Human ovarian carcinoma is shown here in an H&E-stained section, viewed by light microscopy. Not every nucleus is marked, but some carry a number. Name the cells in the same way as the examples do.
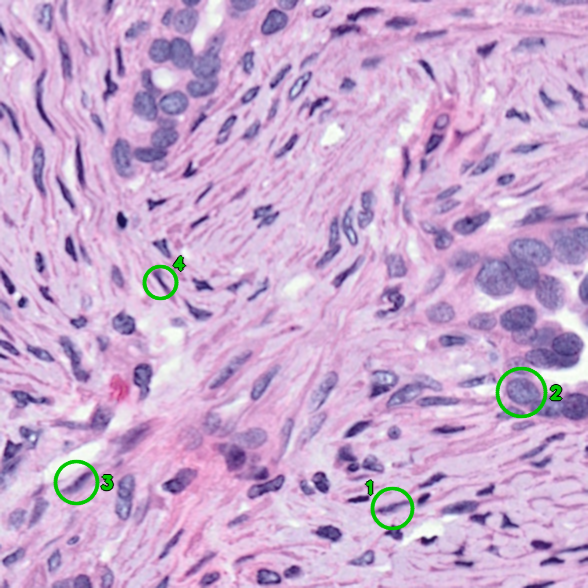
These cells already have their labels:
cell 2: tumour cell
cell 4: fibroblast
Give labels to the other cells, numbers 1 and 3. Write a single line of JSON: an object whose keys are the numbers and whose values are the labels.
{"1": "fibroblast", "3": "fibroblast"}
